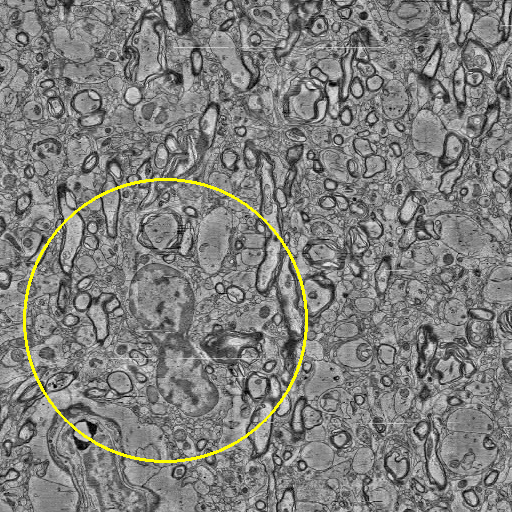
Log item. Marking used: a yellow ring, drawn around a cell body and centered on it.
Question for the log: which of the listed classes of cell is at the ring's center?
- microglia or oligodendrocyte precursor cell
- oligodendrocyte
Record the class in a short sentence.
At the center of the ring lies a microglial cell or oligodendrocyte precursor cell.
